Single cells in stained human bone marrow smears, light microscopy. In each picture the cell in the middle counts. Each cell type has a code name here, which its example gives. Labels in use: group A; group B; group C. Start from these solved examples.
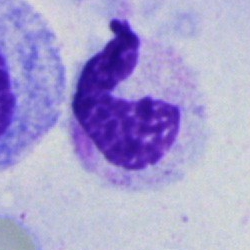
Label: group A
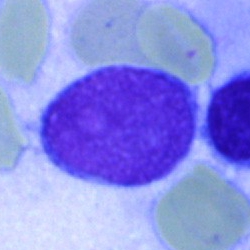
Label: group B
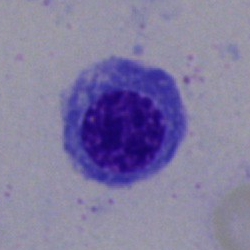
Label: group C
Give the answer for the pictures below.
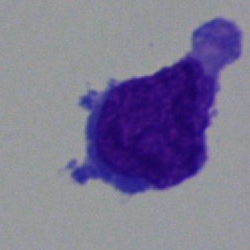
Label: group B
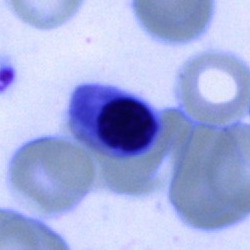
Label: group C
